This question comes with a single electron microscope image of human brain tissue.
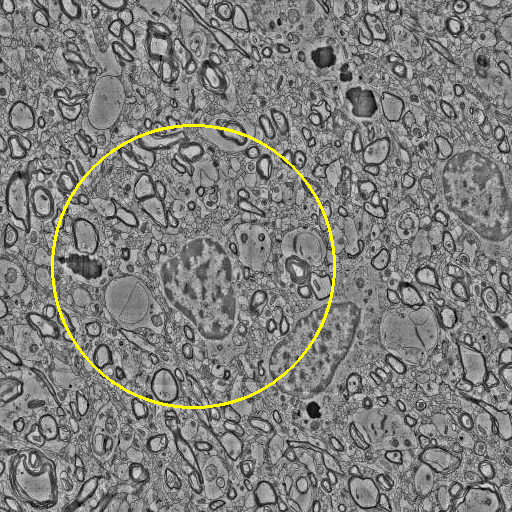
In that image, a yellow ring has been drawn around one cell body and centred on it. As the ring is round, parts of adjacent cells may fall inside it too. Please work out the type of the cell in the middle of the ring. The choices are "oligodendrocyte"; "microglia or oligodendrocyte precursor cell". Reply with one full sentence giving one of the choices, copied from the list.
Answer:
Of the choices, a microglial cell or oligodendrocyte precursor cell is the cell sitting in the middle of the ring.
